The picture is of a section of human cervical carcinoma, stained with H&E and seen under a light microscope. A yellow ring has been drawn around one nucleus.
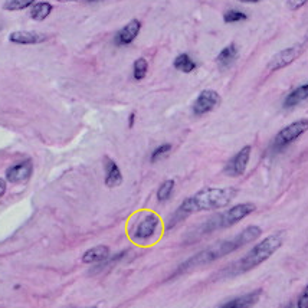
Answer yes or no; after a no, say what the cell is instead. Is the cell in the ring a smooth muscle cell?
Yes.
